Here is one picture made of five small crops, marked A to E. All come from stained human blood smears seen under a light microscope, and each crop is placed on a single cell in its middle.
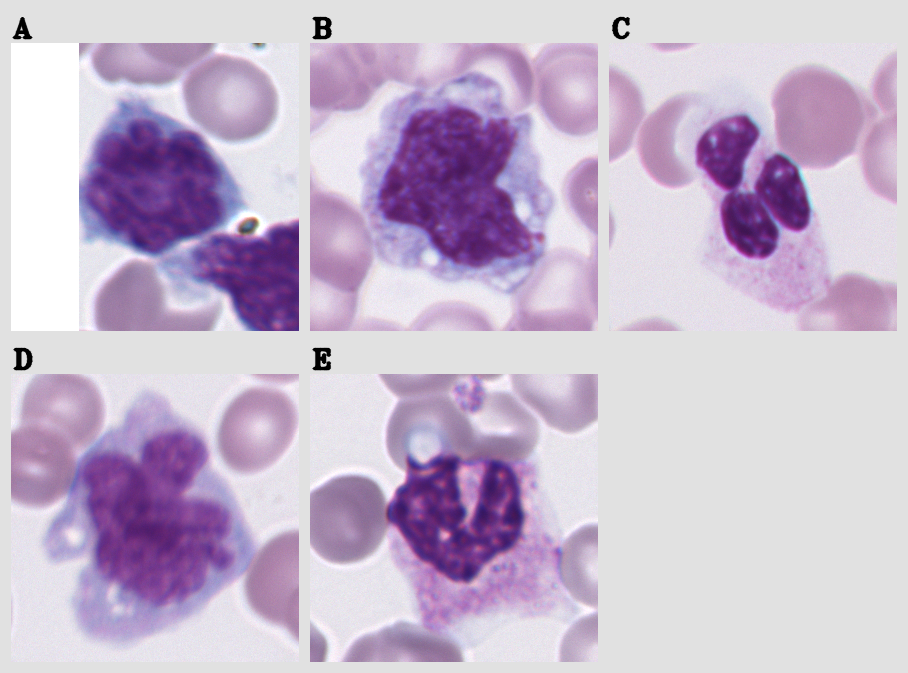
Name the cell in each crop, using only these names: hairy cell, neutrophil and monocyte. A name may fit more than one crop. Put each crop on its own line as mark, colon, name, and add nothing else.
A: monocyte
B: monocyte
C: neutrophil
D: monocyte
E: neutrophil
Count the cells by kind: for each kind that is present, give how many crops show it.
monocyte: 3
neutrophil: 2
